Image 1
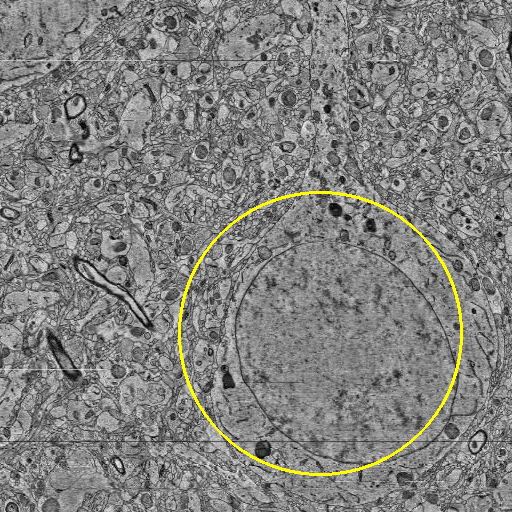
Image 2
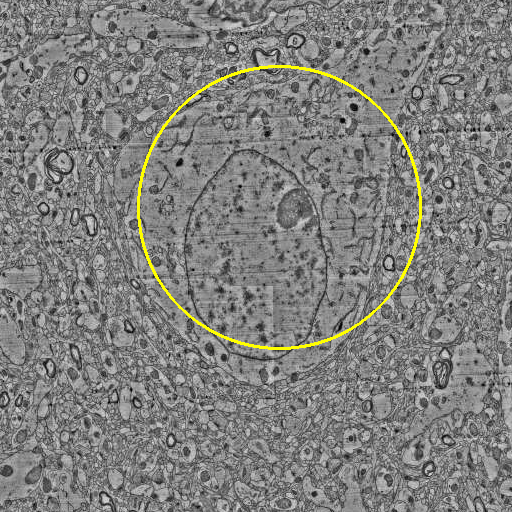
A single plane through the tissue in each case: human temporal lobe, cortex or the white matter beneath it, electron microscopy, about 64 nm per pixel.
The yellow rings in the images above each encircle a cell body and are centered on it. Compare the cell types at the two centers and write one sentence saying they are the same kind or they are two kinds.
Taken together, the two cells at the ring centers are the same kind.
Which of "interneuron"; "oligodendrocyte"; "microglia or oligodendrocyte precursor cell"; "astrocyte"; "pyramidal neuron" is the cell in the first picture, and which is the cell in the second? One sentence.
Each cell, in the first picture and the second, is a pyramidal neuron.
